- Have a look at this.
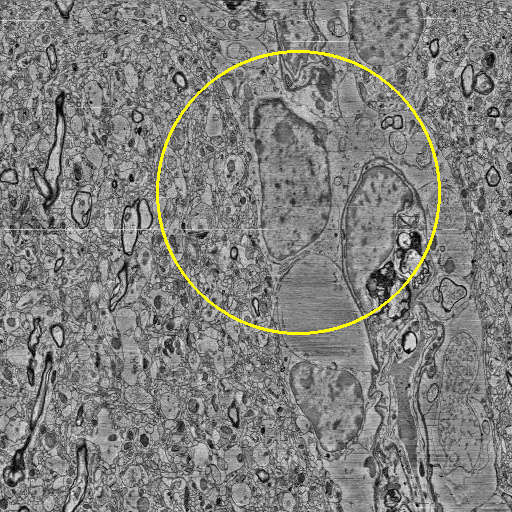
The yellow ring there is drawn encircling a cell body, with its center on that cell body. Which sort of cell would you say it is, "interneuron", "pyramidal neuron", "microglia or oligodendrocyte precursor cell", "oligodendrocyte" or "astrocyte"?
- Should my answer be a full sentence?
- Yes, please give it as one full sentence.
For this picture, a microglial cell or oligodendrocyte precursor cell is the cell where the yellow ring has its center.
